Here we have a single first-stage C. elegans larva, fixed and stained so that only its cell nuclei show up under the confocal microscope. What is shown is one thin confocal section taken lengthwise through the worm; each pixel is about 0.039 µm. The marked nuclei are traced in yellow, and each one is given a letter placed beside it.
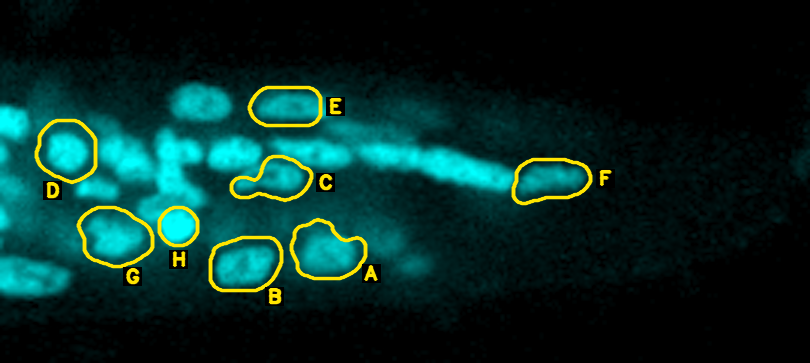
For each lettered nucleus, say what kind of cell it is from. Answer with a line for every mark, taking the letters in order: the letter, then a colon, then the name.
A: body wall muscle cell
B: body wall muscle cell
C: pharyngeal muscle cell
D: neuron
E: body wall muscle cell
F: pharyngeal epithelial cell
G: pharyngeal muscle cell
H: pharyngeal muscle cell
